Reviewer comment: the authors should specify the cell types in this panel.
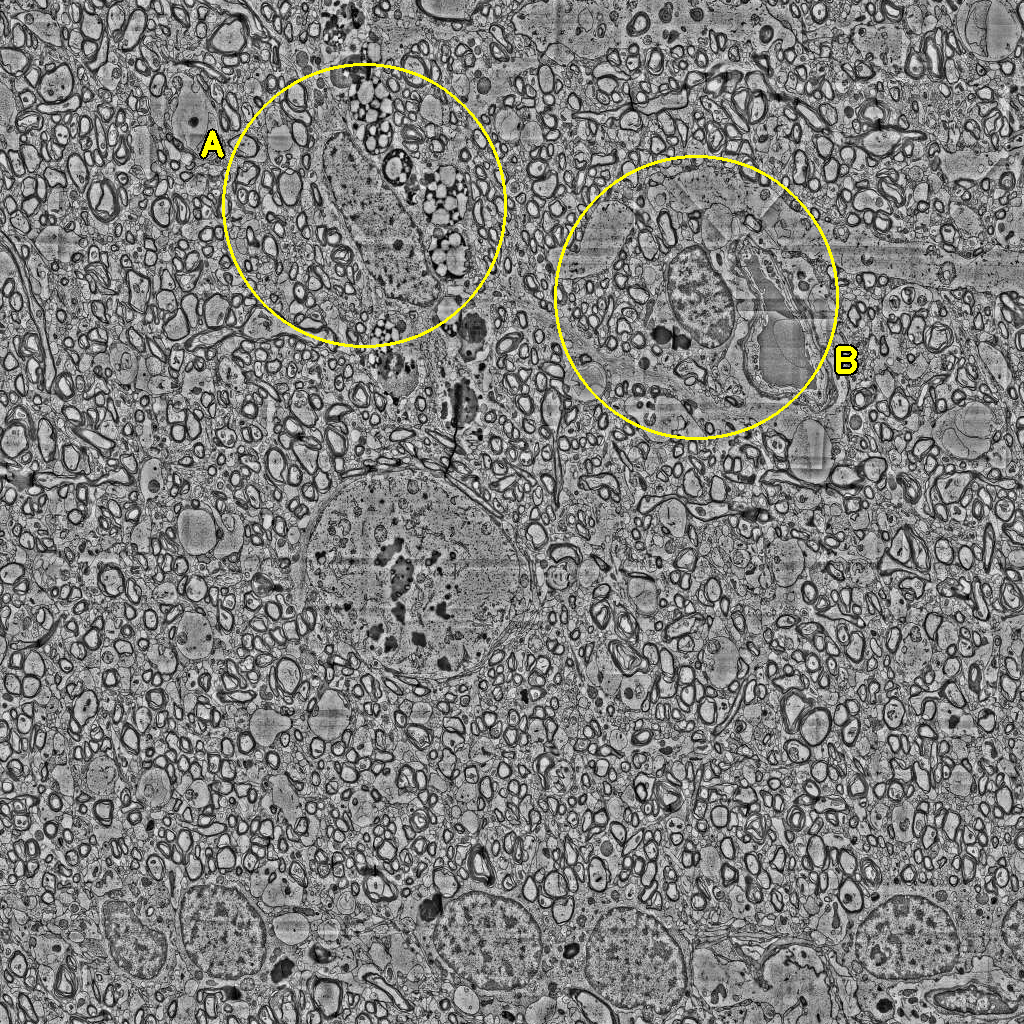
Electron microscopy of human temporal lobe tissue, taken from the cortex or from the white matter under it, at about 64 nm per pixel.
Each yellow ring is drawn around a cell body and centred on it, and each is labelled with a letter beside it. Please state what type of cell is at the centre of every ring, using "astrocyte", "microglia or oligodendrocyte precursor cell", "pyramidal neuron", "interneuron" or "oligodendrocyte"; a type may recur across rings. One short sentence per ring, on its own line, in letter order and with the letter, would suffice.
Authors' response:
The cell centred within ring A is an astrocyte.
The cell centred within ring B is an oligodendrocyte.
